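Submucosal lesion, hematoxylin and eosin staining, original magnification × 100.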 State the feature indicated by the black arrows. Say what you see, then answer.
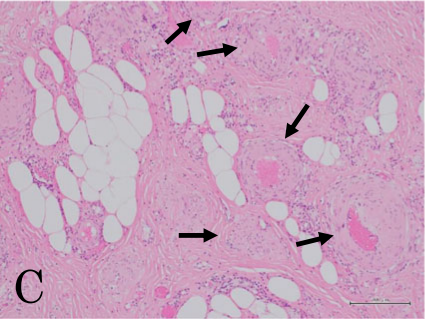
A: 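Some arrows point at small round profiles with lumens holding pink-red material. These profiles lie among large empty round fat cells and pink fibrous stroma.
Conclusion: small vessels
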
